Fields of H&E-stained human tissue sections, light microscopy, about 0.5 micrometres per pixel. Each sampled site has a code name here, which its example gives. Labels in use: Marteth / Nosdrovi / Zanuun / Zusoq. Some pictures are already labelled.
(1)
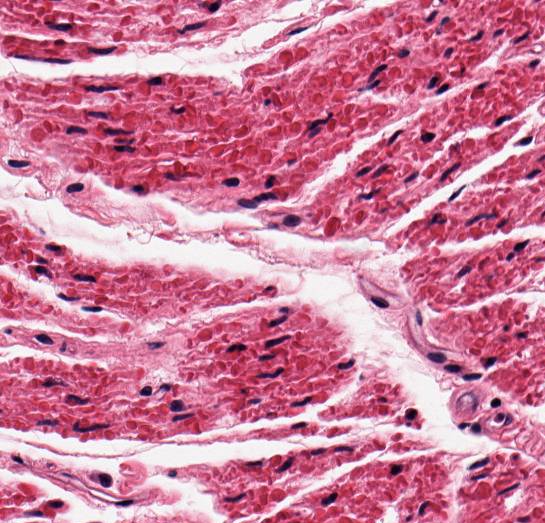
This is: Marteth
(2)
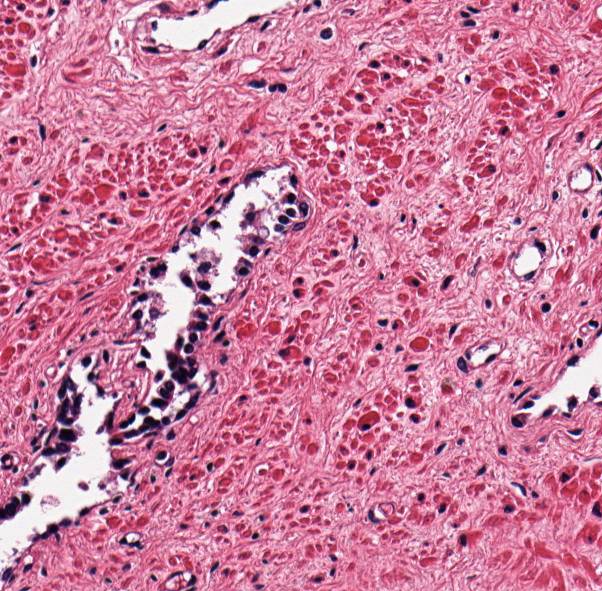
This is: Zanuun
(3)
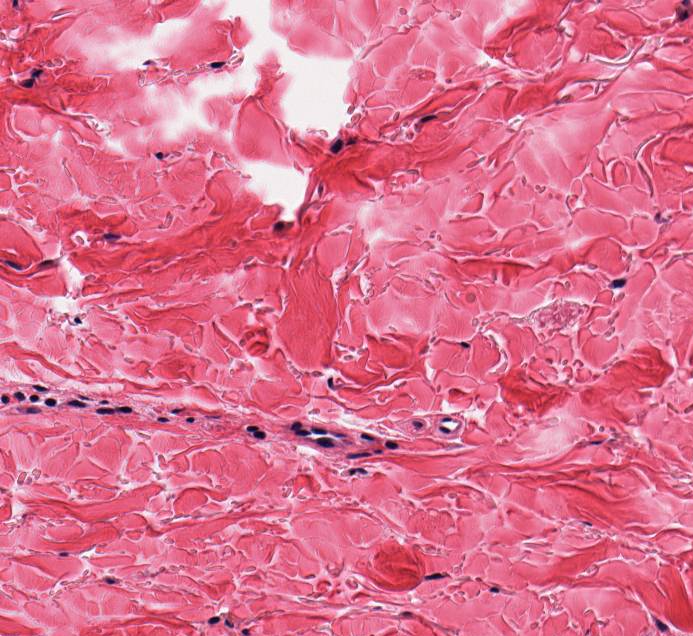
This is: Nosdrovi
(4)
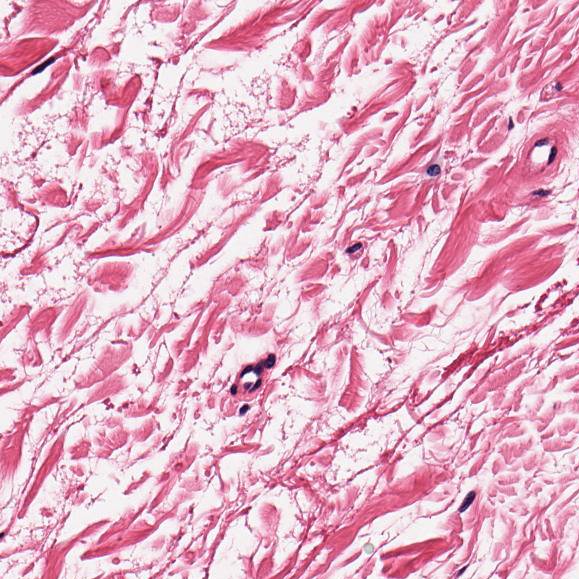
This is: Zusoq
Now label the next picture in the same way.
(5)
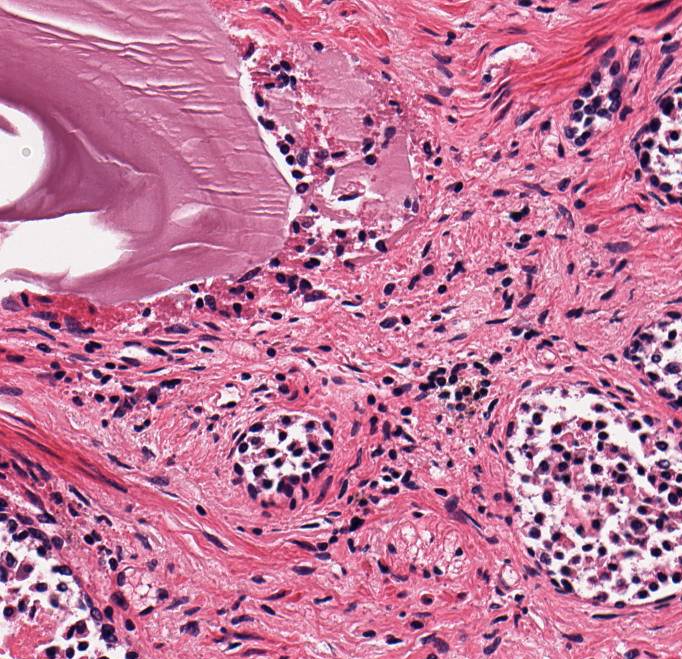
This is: Zanuun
